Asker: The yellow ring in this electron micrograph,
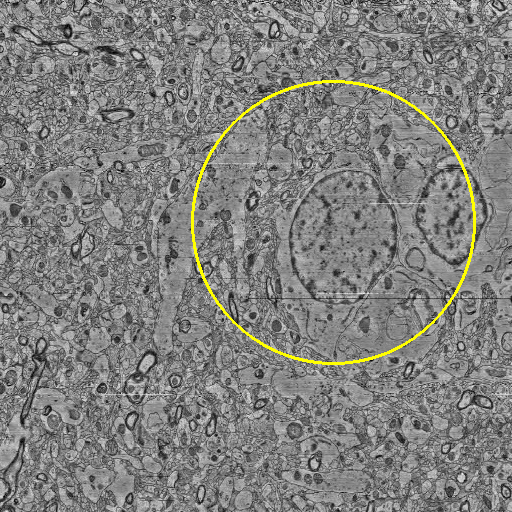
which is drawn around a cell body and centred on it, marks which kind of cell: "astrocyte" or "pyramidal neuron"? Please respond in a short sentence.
The marked cell is an astrocyte.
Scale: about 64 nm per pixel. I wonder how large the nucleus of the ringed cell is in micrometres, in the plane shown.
The nucleus has a long axis of about 9 micrometres and a short axis of about 7 micrometres in this plane.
